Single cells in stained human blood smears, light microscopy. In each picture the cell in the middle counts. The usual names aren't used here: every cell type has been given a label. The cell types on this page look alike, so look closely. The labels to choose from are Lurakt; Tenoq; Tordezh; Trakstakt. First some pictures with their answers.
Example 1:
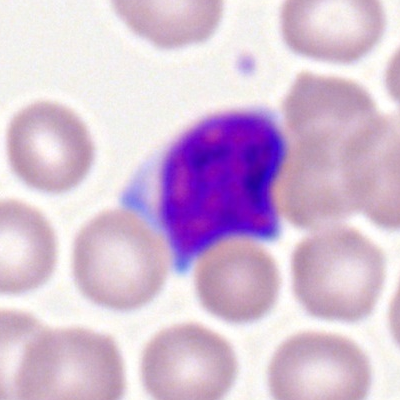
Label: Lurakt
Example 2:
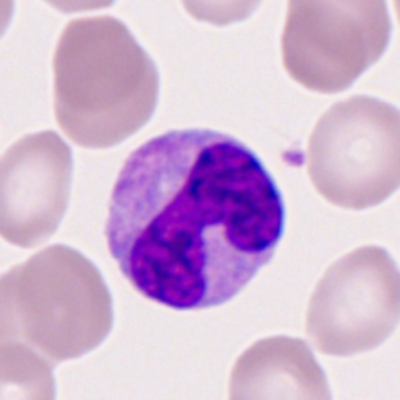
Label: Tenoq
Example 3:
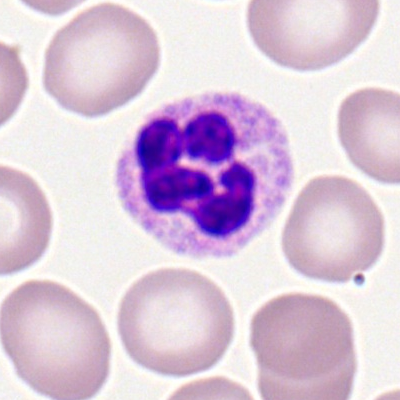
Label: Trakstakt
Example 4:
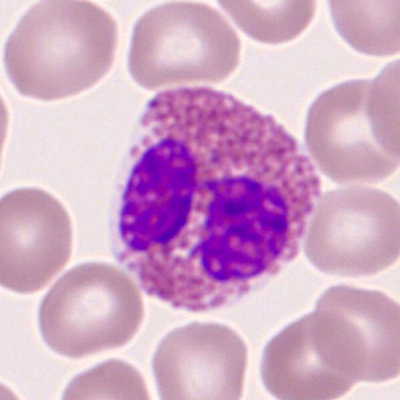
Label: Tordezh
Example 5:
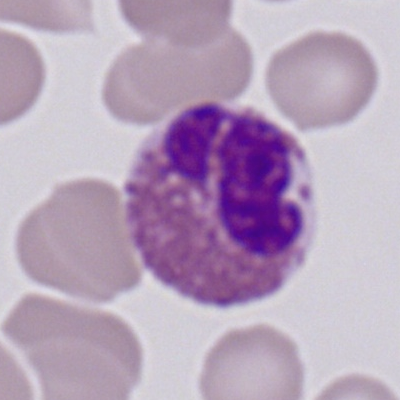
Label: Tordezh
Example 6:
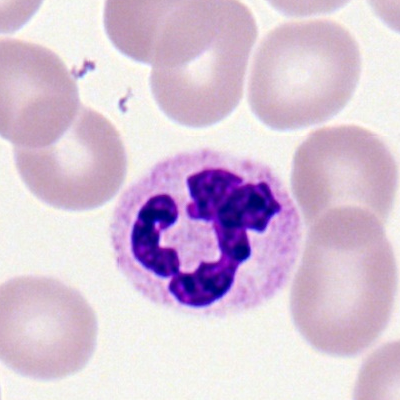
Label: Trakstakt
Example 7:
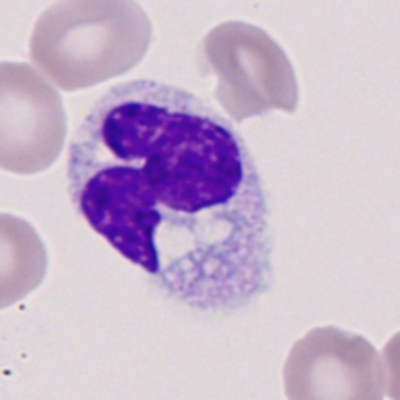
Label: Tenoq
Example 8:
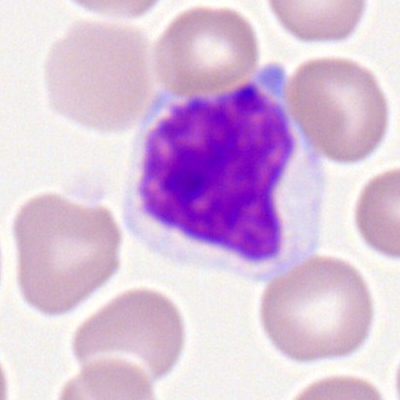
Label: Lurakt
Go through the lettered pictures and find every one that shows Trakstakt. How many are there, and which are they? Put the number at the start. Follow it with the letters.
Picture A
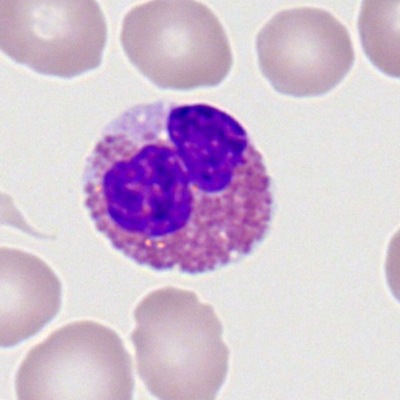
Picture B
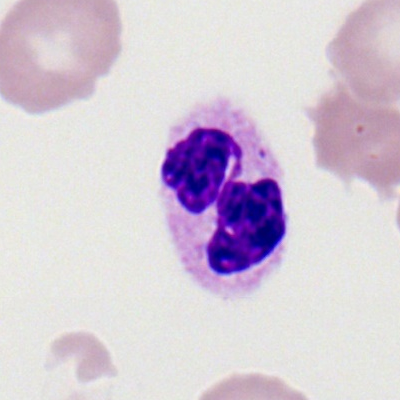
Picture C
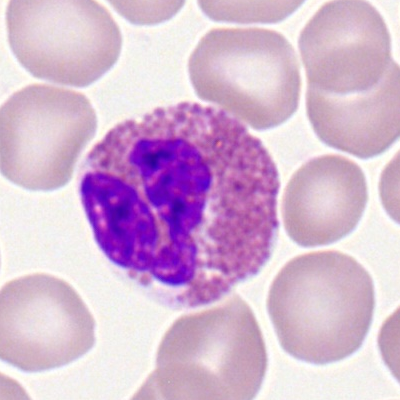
1, namely B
